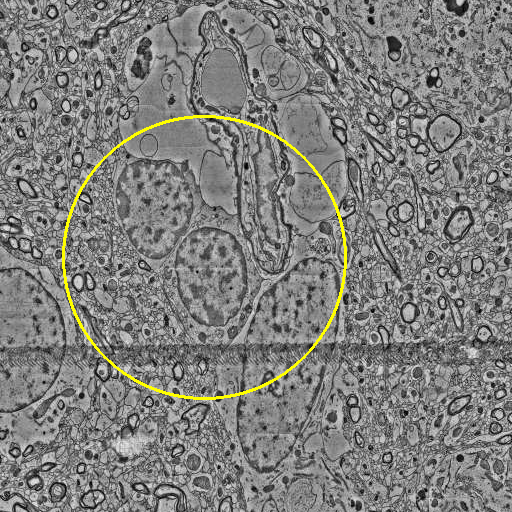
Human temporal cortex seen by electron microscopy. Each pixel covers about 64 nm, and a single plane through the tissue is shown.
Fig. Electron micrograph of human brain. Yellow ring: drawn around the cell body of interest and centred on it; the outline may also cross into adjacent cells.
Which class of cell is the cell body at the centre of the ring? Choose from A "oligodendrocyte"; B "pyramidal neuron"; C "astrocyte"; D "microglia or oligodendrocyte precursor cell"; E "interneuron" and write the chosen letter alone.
A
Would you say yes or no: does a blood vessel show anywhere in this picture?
Yes, the image shows a blood vessel.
